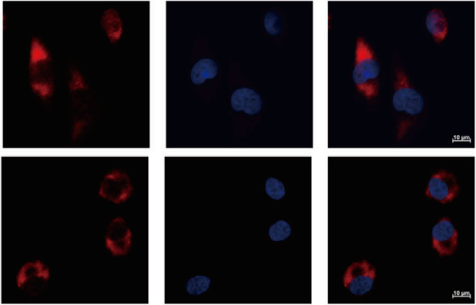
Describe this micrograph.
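The red staining fills the cytoplasm around the nucleus, while the nuclei themselves stay largely blue and free of red. In the upper row the cells are more elongated and irregular, with the red concentrated to one side of the nucleus. In the lower row the cells are rounder, and the red forms a ring or crescent around the nucleus.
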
